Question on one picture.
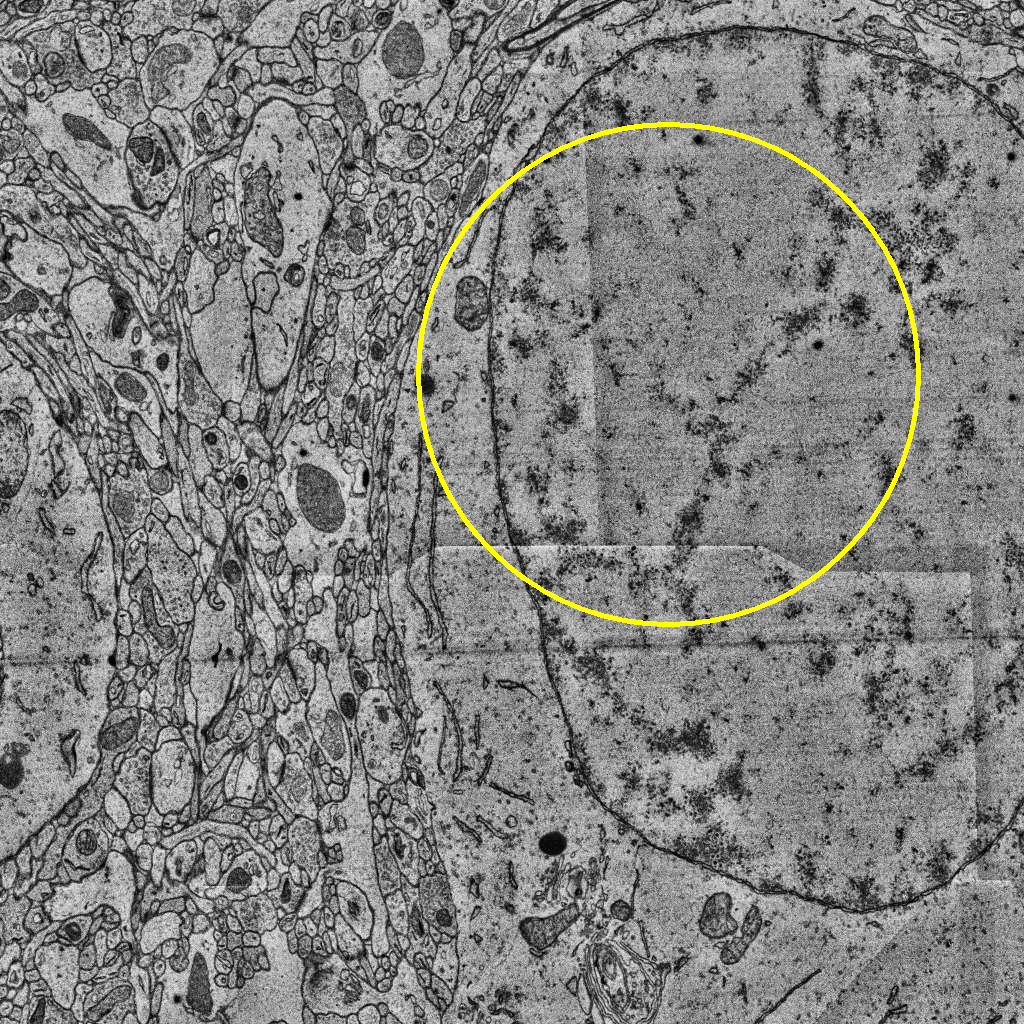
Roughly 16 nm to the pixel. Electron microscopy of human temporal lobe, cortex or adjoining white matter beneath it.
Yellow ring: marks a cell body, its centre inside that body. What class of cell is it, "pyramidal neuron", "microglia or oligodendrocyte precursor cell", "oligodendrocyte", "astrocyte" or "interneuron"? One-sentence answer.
This is a pyramidal neuron, the cell at the ring's centre.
